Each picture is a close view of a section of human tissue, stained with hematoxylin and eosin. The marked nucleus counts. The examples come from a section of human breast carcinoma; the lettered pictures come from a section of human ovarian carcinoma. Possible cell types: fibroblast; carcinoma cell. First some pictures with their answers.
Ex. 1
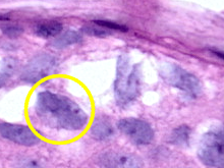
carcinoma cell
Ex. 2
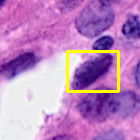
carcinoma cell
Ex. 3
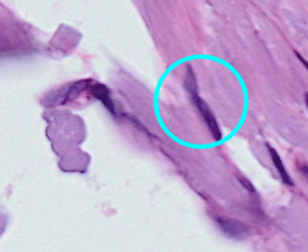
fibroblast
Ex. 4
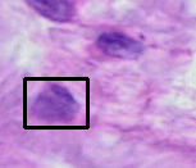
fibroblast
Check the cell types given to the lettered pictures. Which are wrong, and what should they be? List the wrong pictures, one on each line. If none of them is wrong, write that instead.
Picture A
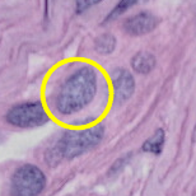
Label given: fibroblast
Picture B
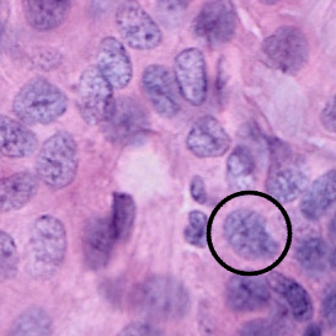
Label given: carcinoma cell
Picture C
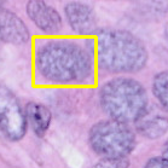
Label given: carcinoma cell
A: change fibroblast to carcinoma cell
